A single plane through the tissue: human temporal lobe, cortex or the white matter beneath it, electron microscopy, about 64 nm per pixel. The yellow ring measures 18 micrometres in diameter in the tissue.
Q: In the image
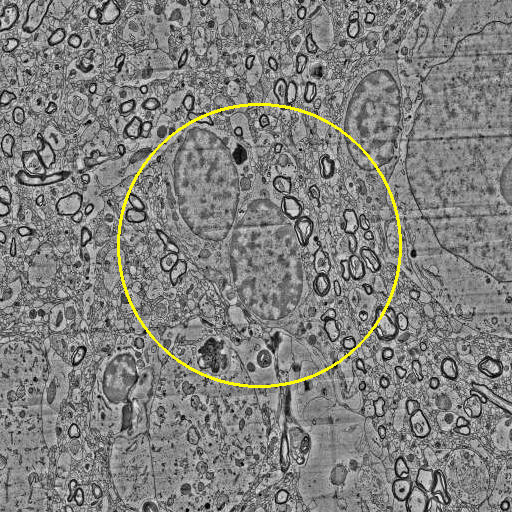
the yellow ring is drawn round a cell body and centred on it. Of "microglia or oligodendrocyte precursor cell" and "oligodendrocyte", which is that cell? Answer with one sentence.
The cell centred in the ring is an oligodendrocyte.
